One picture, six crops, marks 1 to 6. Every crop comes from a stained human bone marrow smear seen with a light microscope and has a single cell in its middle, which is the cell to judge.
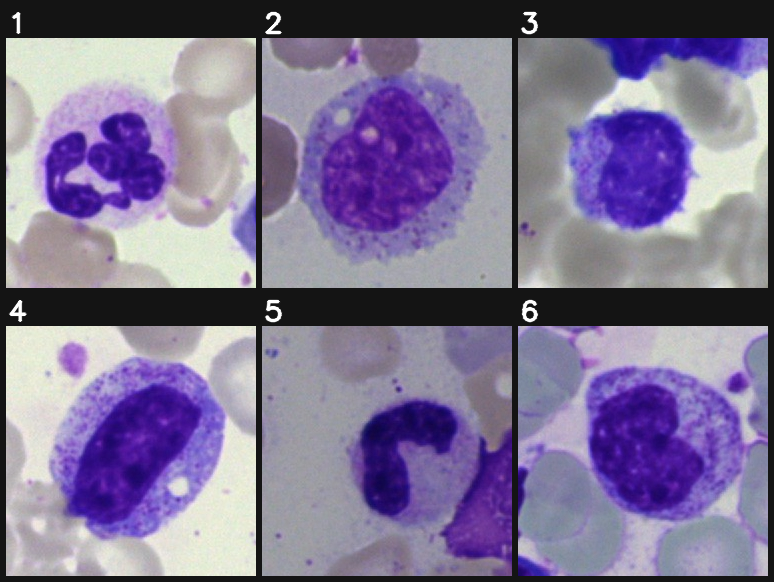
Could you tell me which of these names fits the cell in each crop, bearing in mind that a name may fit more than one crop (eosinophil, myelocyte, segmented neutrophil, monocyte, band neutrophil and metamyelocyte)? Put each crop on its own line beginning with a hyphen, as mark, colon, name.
- 1: segmented neutrophil
- 2: myelocyte
- 3: myelocyte
- 4: metamyelocyte
- 5: segmented neutrophil
- 6: metamyelocyte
